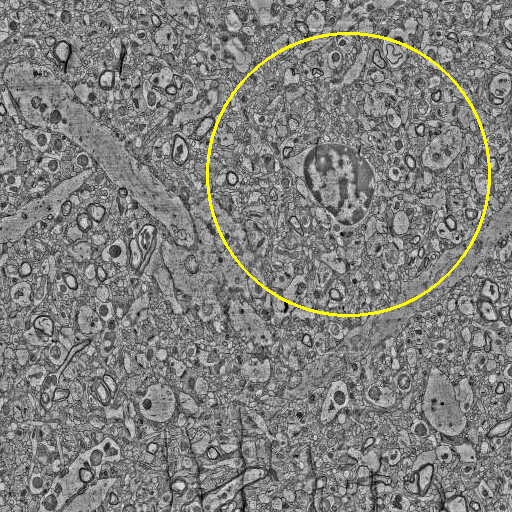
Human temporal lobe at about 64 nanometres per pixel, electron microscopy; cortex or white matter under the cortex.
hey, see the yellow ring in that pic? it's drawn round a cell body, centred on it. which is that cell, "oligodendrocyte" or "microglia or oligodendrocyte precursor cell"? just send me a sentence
The cell in the ring is a microglial cell or oligodendrocyte precursor cell.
